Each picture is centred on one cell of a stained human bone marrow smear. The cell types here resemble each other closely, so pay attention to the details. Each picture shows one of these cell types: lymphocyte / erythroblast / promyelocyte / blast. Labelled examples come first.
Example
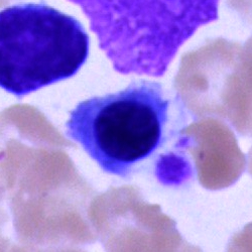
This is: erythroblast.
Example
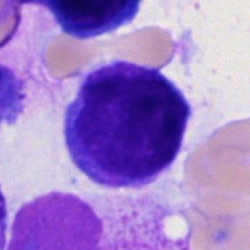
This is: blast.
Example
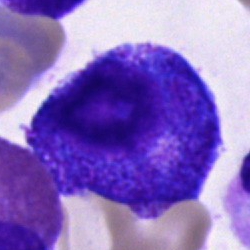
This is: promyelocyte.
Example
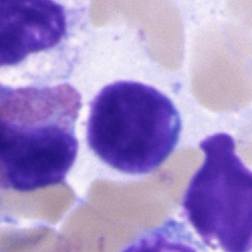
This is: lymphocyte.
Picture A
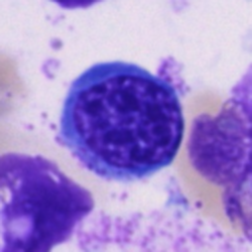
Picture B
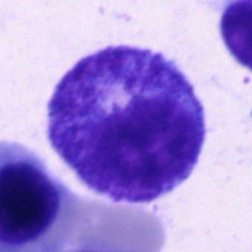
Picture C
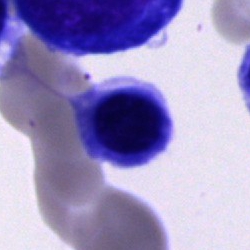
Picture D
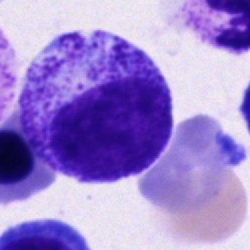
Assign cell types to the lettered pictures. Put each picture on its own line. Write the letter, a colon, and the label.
A: erythroblast.
B: promyelocyte.
C: erythroblast.
D: promyelocyte.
